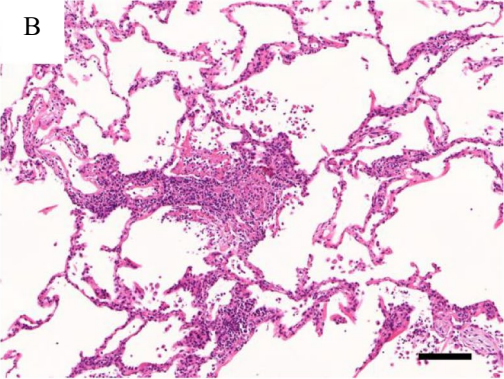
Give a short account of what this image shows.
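Lung tissue in which alveolar walls are thickened and crowded with small dark-blue nuclei of inflammatory cells, forming a dense cellular focus at the centre. The surrounding air spaces are open and contain scattered free-lying cells and small amounts of pink material.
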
